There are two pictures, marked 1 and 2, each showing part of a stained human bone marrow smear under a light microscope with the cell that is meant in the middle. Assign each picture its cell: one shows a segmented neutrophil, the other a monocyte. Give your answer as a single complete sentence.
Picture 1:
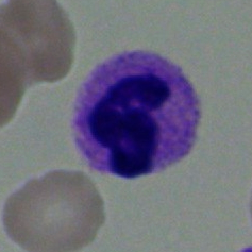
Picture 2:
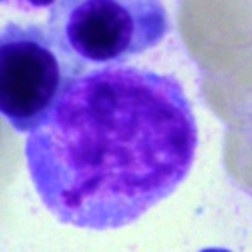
In picture 1 the cell is a segmented neutrophil; in picture 2, a monocyte.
